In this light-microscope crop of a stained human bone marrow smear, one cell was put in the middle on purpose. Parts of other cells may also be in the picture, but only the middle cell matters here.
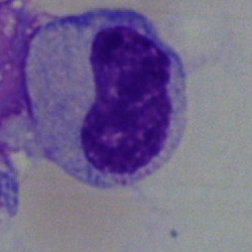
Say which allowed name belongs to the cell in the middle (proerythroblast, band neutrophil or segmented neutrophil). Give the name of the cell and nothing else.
band neutrophil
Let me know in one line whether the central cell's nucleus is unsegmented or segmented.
The nucleus amounts to one compact mass with a round, oval or kidney-shaped outline.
